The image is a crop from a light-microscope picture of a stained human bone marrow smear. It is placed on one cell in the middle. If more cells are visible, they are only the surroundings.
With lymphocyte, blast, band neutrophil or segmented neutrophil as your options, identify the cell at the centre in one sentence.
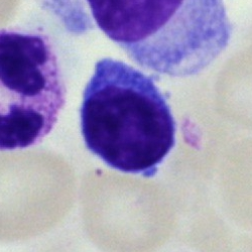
The cell of interest, in the center, is a lymphocyte.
